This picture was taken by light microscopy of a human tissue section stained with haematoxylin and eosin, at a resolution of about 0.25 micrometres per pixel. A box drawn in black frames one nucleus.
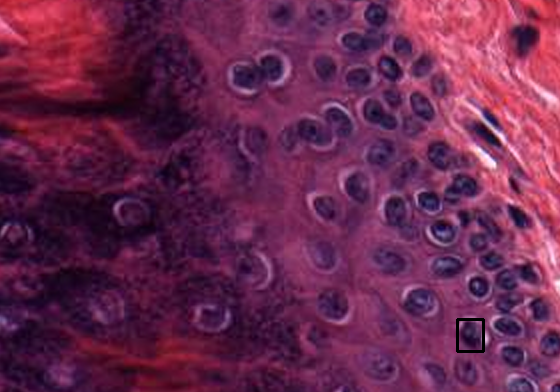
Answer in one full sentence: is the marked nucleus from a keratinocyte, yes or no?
Yes, the marked nucleus, in this picture, is that of a keratinocyte.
